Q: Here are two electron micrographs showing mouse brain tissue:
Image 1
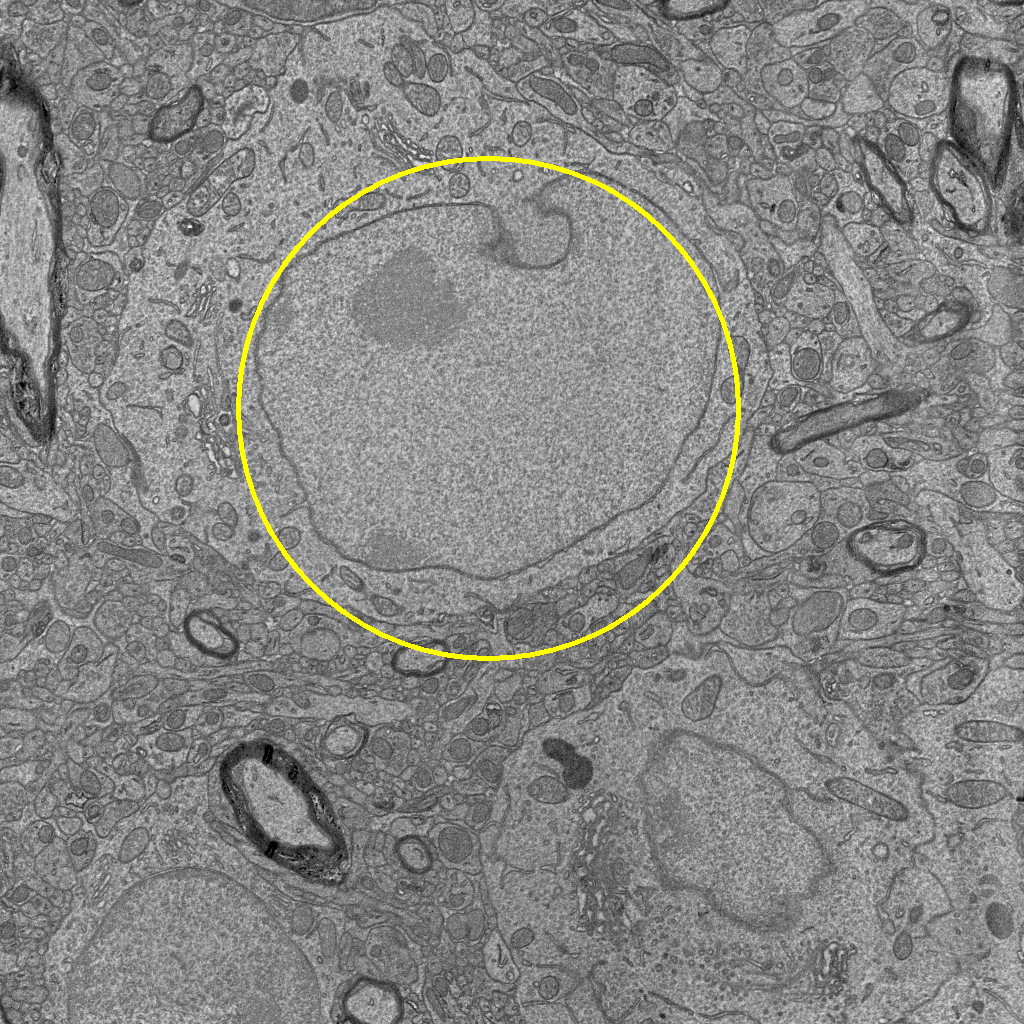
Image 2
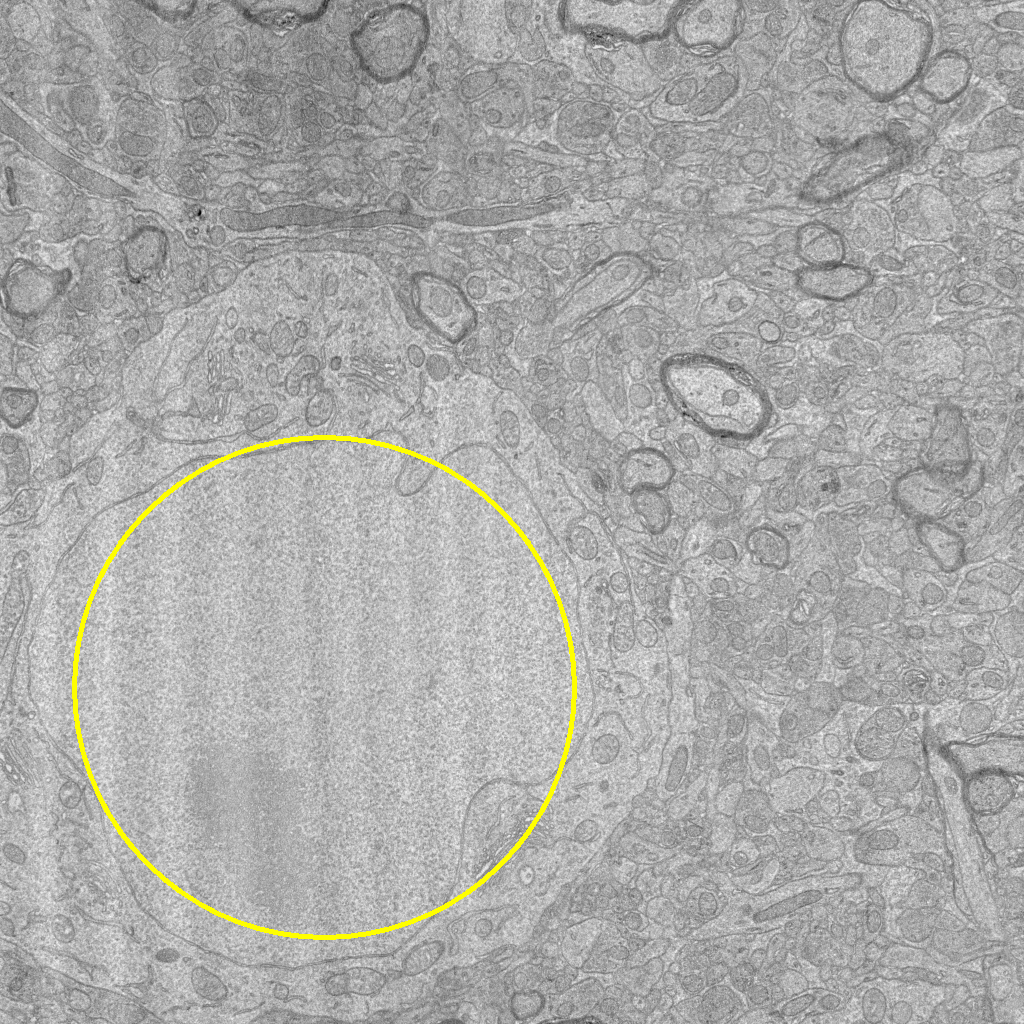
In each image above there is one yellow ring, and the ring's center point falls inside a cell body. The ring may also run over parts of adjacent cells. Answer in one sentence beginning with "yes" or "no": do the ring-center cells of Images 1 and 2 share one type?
Yes, in Images 1 and 2, the ring-center cells are both of one type.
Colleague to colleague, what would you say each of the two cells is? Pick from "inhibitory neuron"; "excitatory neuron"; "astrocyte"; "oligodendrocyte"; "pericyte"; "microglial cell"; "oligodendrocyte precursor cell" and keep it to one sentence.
The cell in the first picture is an excitatory neuron, and so is the one in the second.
